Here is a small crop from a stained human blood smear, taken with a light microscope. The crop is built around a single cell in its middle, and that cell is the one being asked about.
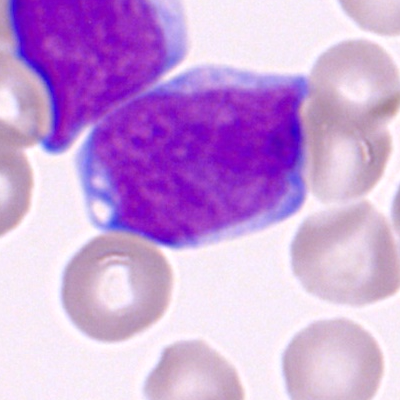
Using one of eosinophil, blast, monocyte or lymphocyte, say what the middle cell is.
blast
